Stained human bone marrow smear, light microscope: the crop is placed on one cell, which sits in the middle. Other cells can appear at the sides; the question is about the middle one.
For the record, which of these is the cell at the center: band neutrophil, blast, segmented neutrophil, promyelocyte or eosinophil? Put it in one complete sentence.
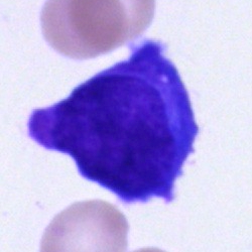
Regarding the central cell, it is a blast.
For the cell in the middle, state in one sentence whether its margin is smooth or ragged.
The cell membrane follows an uneven contour, either ragged or bearing projections.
